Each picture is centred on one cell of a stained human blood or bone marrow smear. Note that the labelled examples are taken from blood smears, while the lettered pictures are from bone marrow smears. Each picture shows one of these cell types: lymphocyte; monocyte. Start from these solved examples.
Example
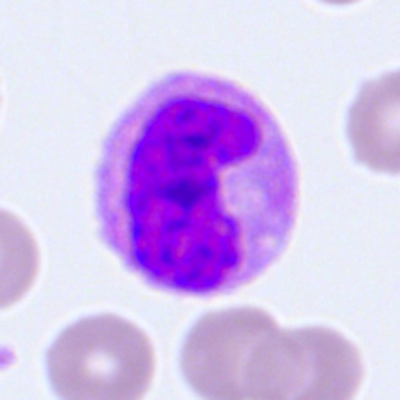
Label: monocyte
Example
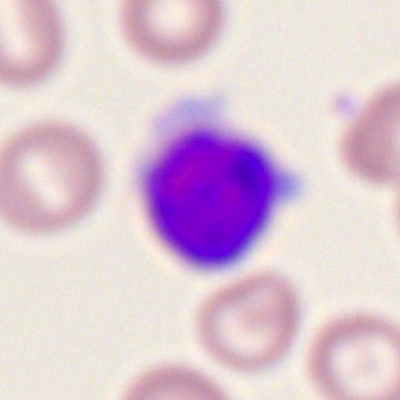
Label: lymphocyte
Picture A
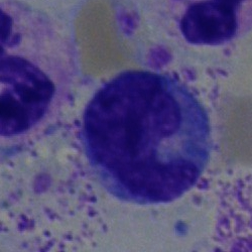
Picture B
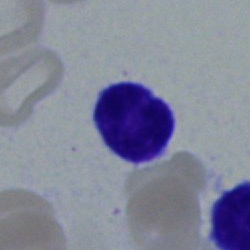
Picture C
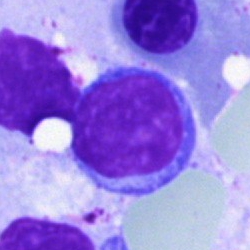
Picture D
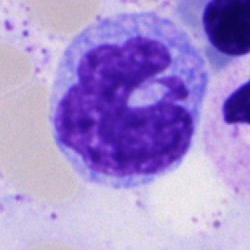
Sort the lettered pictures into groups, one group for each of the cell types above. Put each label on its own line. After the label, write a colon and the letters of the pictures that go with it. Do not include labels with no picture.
lymphocyte: B, C
monocyte: A, D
